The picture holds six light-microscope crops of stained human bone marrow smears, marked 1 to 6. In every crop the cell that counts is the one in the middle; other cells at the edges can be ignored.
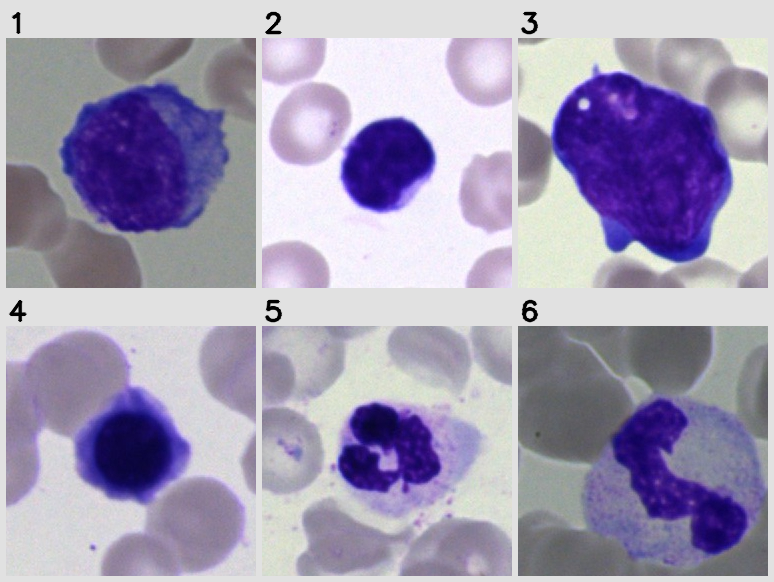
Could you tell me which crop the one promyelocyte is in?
1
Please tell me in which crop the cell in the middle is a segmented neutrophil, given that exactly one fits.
5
